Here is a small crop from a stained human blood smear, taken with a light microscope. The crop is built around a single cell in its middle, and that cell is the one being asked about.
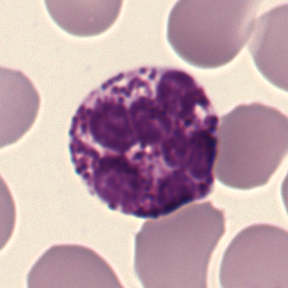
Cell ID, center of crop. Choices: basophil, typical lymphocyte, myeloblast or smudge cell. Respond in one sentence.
The cell at the central position in this crop is a basophil.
